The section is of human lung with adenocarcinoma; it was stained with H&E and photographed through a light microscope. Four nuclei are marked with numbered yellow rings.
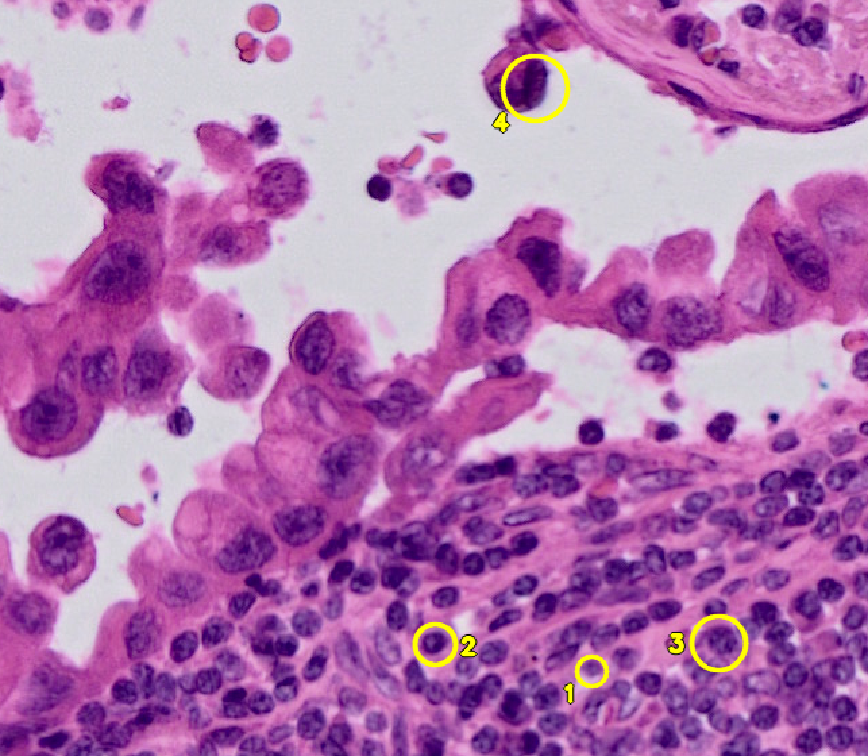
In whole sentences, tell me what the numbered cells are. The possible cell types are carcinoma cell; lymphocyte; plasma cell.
Cell 1 is a lymphocyte, cell 2 is a lymphocyte, cell 3 is a lymphocyte and cell 4 is a carcinoma cell.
